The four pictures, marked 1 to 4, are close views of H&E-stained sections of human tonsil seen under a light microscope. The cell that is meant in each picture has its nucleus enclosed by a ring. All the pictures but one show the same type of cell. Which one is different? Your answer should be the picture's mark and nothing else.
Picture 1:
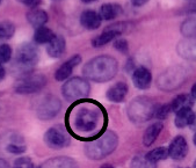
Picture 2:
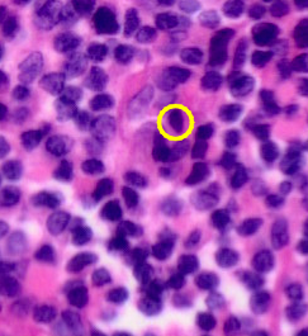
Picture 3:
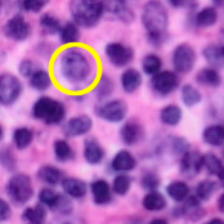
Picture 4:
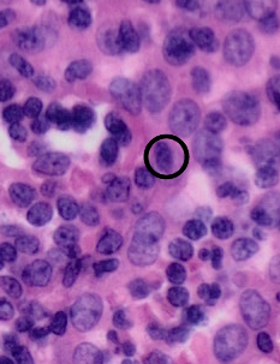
3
